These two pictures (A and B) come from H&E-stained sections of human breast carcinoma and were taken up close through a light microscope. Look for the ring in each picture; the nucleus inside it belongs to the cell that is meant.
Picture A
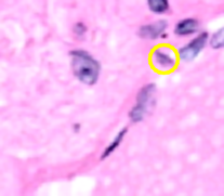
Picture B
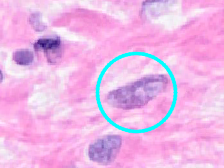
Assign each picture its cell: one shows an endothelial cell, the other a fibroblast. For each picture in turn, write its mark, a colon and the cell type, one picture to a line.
A: endothelial cell
B: fibroblast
